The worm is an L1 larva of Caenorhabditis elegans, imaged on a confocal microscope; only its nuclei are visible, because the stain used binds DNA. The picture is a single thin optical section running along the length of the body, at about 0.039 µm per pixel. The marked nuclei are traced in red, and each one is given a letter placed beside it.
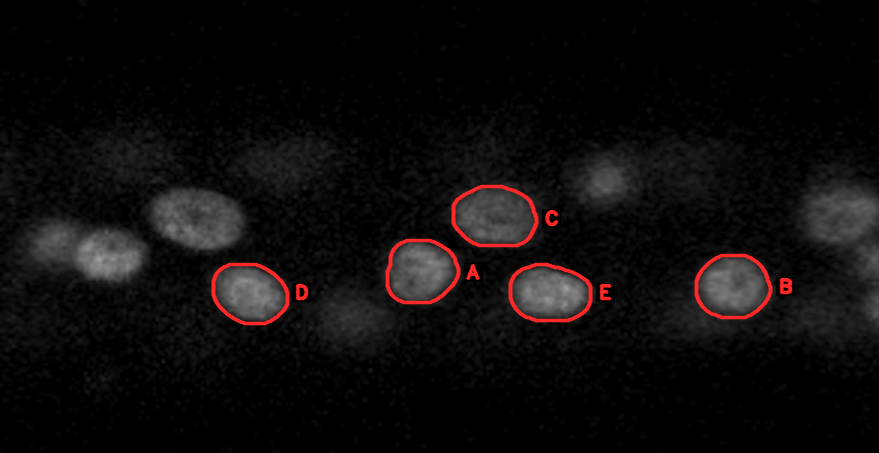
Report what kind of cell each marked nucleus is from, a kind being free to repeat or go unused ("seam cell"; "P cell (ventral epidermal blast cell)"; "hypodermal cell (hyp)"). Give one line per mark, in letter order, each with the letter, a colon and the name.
A: seam cell
B: seam cell
C: hypodermal cell (hyp)
D: P cell (ventral epidermal blast cell)
E: P cell (ventral epidermal blast cell)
